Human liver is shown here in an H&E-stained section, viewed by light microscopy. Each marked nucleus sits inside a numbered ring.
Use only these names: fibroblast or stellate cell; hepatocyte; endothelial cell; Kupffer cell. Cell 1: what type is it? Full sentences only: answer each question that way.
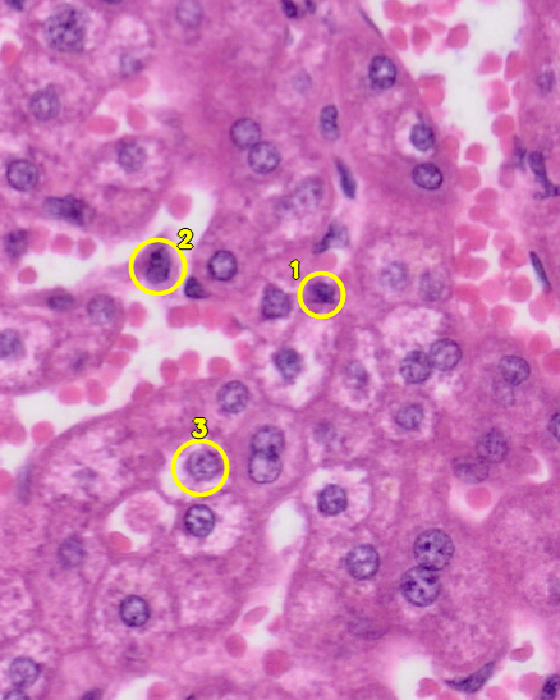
The one numbered 1 among the marked cells is a fibroblast or stellate cell.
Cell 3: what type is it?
In the tissue shown, cell 3 is a hepatocyte.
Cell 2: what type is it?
The numbered cell 2 is identified here as a Kupffer cell.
